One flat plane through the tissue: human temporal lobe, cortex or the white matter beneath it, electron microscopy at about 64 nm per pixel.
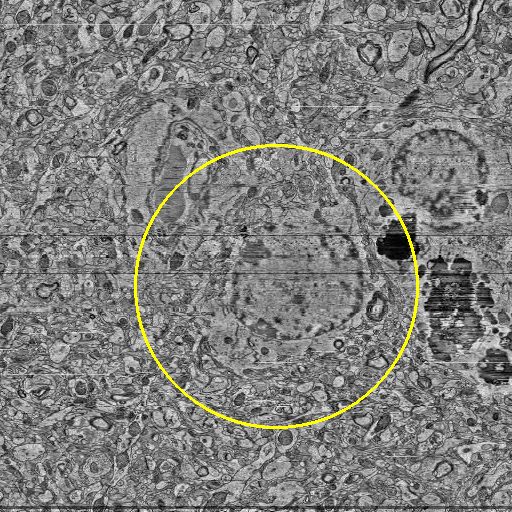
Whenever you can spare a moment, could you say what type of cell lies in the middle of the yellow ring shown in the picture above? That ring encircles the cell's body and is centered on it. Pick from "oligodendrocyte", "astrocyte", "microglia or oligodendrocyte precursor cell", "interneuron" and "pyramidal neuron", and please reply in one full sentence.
The cell whose body sits at the middle of the yellow ring is an astrocyte.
